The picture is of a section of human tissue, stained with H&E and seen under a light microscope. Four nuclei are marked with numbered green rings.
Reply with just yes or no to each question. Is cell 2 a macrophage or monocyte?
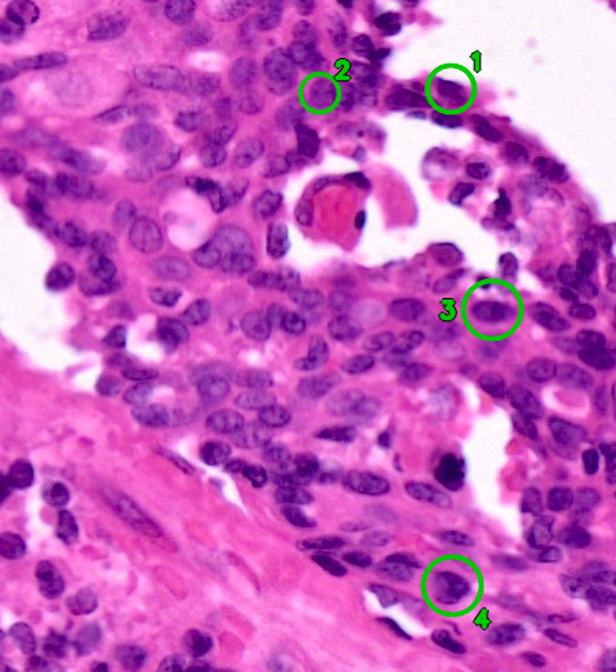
no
